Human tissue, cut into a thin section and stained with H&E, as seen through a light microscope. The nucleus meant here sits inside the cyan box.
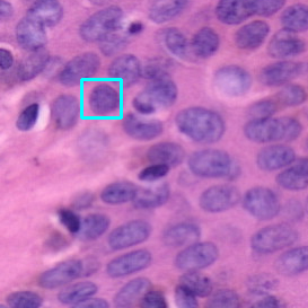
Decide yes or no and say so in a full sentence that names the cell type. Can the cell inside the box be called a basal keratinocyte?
Yes, and to confirm, the cell inside the box is a basal keratinocyte.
